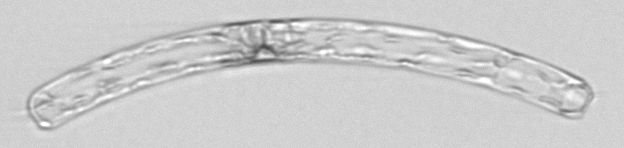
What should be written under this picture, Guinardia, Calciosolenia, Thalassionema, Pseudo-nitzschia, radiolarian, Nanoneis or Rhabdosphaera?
Guinardia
